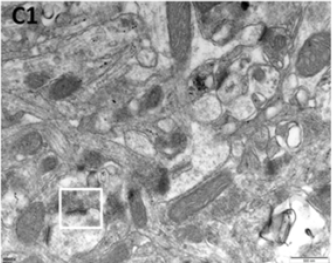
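This electron micrograph shows neuropil packed with rounded and elongated profiles of neuronal processes. Several contain long, dark mitochondria with visible cristae. Some small profiles hold pale vesicles. The white box near the lower left frames a contact where a dark electron-dense band runs along the membranes between two profiles.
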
